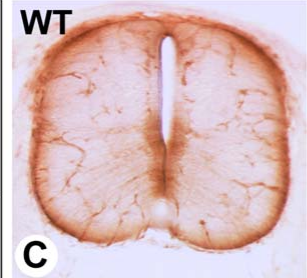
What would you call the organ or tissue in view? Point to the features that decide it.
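A bilaterally symmetric oval of neural tissue in cross section. A narrow slit-like central canal runs down the midline. The two halves are joined ventrally below the canal.
Spinal cord.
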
